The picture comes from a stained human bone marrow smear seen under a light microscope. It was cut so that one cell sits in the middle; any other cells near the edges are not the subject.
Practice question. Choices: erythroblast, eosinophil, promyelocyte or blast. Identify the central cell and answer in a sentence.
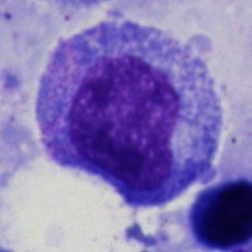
The cell featured at the centre of this crop is a promyelocyte.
